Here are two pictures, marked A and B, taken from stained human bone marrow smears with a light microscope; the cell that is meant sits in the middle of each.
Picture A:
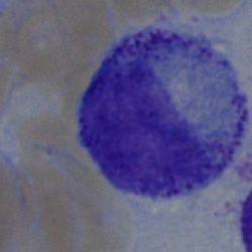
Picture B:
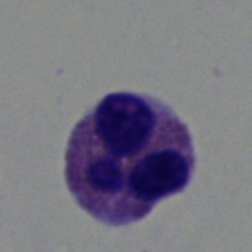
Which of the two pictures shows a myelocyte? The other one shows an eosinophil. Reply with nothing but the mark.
A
